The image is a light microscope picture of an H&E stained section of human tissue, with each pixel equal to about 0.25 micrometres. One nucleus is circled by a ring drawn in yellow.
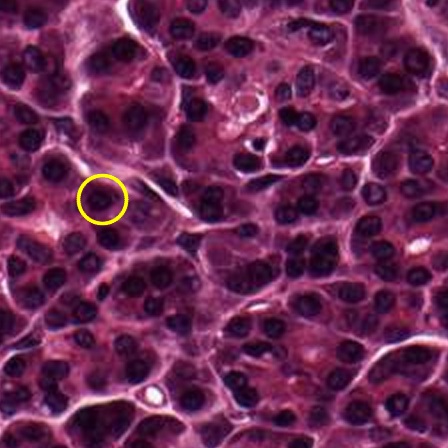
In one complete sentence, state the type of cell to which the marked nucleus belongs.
The marked nucleus belongs to a pancreatic acinar cell.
